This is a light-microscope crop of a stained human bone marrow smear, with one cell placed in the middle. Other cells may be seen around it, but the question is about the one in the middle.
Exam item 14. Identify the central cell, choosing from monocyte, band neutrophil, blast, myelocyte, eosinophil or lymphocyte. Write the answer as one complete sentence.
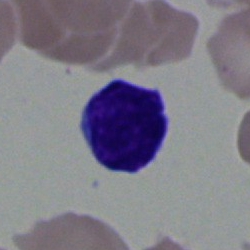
The middle of this crop holds a lymphocyte.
